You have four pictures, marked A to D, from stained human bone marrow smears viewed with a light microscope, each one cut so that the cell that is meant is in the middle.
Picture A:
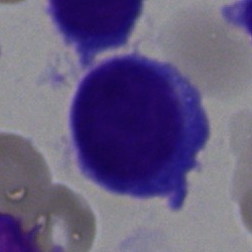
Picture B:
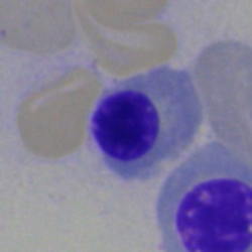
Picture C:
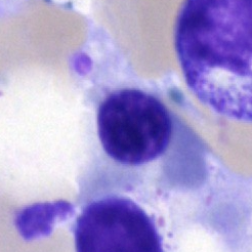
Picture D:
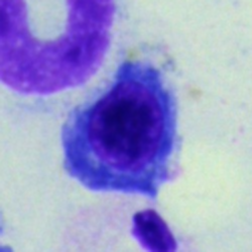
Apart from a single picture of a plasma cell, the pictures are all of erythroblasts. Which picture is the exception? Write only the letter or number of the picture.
A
